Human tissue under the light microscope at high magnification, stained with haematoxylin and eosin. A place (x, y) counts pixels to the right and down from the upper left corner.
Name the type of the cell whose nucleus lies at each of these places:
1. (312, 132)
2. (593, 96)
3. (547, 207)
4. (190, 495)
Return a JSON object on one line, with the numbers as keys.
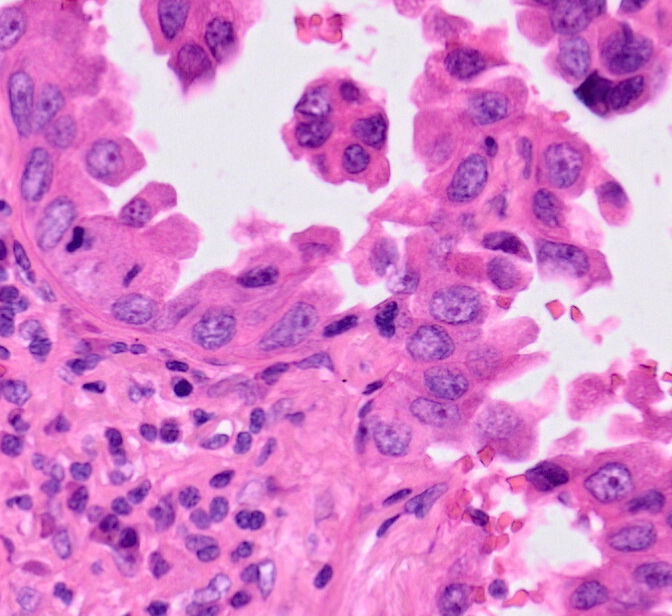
{"1": "carcinoma cell", "2": "carcinoma cell", "3": "carcinoma cell", "4": "lymphocyte"}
